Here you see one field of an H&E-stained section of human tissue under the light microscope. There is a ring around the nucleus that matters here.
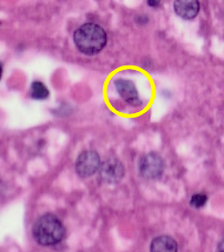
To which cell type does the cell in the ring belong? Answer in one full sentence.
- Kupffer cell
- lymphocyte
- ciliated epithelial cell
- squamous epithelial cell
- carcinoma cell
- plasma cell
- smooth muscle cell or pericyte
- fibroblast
What the cell in the ring represents is a Kupffer cell.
